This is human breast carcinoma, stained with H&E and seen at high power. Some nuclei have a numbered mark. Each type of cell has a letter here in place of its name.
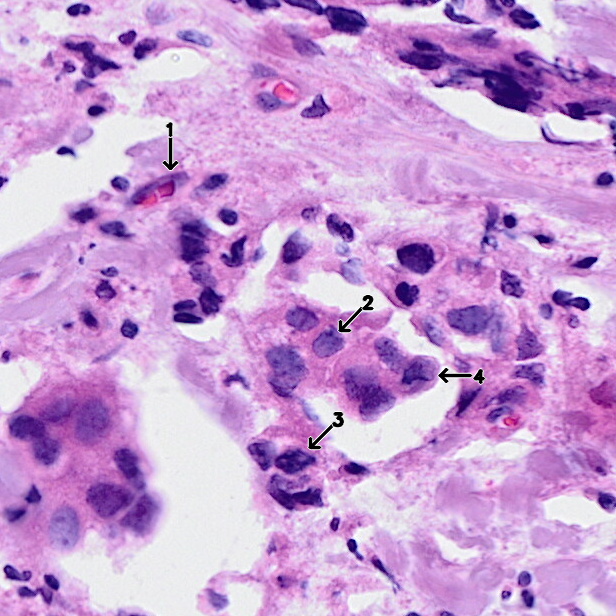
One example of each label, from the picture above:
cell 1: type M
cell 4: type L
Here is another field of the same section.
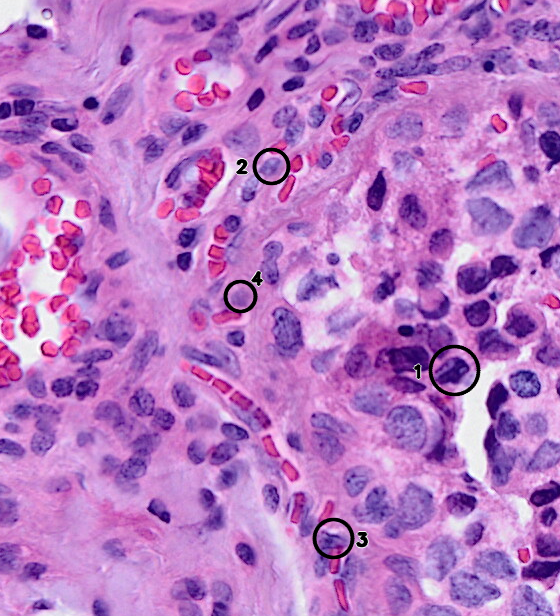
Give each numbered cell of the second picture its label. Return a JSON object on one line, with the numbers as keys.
{"1": "type L", "2": "type M", "3": "type M", "4": "type M"}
